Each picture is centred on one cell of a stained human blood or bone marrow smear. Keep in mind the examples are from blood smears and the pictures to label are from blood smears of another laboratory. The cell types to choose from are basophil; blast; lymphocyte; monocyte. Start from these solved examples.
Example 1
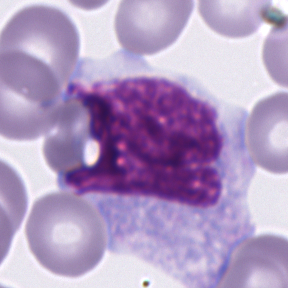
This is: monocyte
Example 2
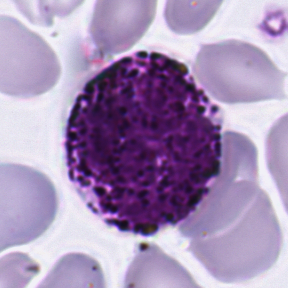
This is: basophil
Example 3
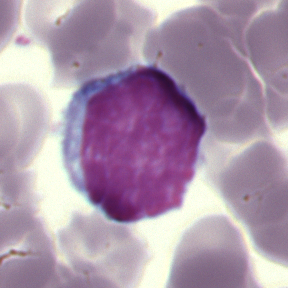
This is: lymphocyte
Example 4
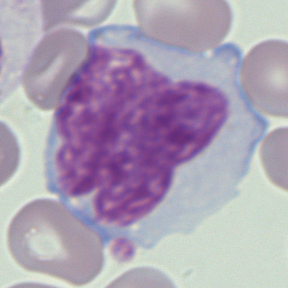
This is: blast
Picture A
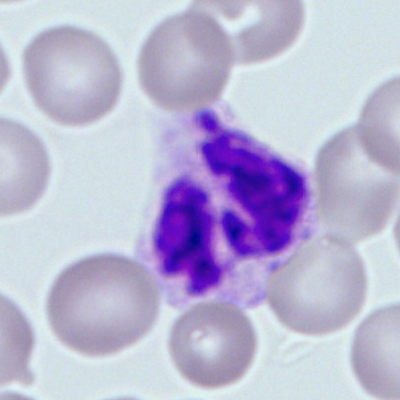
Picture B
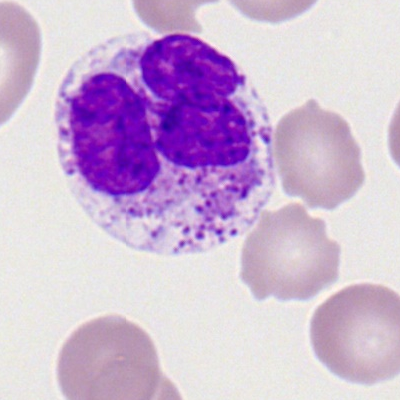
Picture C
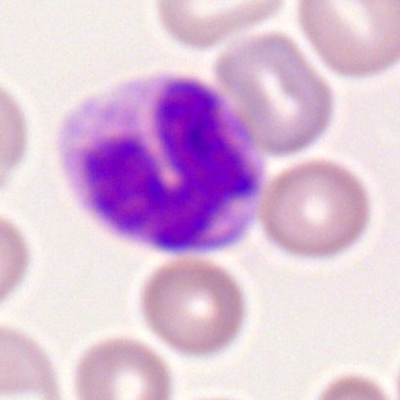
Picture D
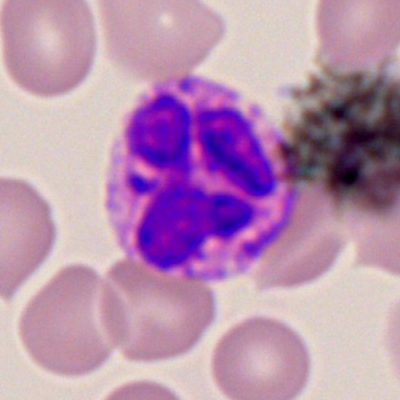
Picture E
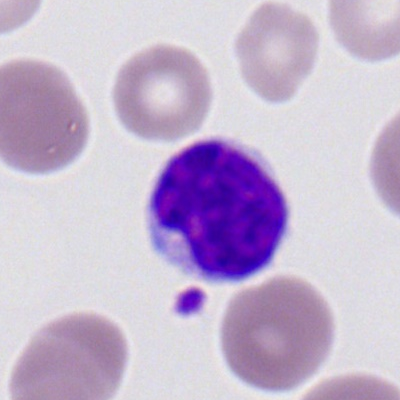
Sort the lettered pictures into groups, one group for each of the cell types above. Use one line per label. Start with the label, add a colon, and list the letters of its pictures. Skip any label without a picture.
basophil: A, B, C, D
lymphocyte: E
